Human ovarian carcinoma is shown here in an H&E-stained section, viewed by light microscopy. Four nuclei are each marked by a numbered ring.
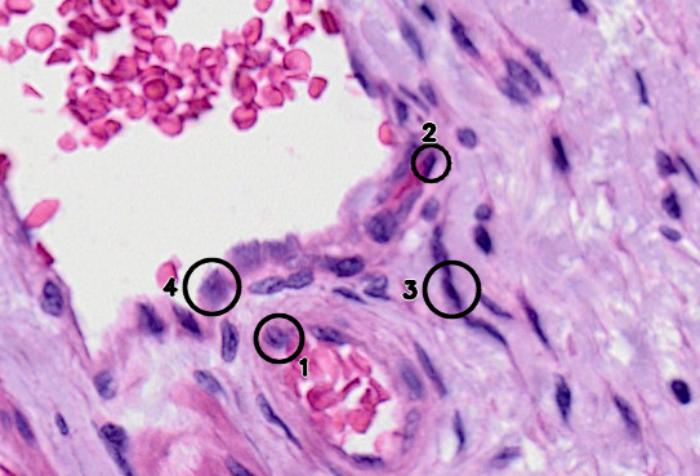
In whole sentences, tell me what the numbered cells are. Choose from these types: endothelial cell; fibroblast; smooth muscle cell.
Cell 1 is an endothelial cell, cell 2 is an endothelial cell, cell 3 is a fibroblast and cell 4 is an endothelial cell.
